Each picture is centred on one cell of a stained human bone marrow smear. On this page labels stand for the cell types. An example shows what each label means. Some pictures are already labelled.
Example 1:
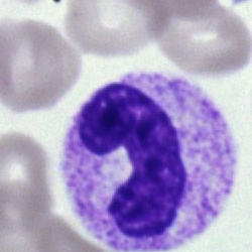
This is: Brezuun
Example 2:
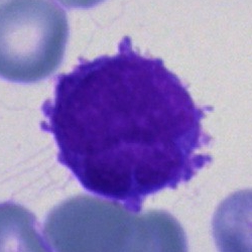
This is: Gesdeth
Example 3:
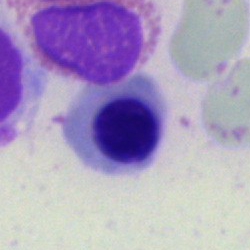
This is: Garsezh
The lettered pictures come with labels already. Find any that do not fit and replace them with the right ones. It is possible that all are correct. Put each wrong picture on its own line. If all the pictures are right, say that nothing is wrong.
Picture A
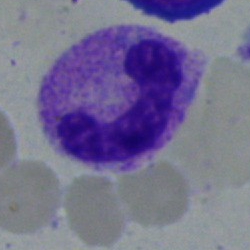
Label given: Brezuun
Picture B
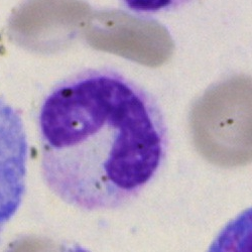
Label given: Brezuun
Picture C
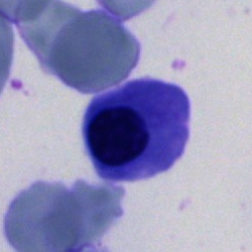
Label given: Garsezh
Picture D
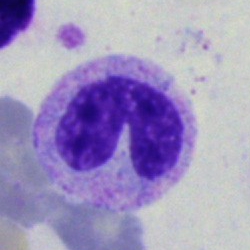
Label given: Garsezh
D: change Garsezh to Brezuun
